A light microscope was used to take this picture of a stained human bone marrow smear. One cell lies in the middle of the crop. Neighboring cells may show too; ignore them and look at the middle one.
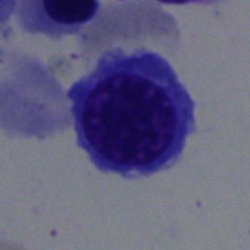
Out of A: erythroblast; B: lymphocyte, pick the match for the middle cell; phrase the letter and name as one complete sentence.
The middle of the crop holds an erythroblast, which points to option A.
